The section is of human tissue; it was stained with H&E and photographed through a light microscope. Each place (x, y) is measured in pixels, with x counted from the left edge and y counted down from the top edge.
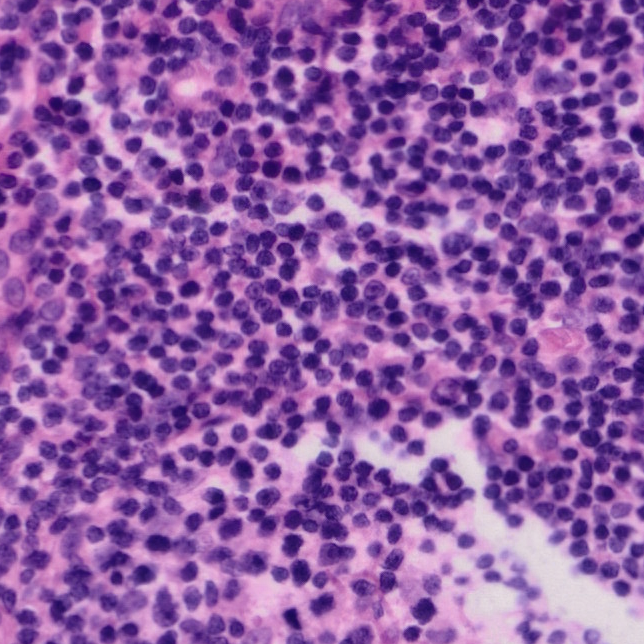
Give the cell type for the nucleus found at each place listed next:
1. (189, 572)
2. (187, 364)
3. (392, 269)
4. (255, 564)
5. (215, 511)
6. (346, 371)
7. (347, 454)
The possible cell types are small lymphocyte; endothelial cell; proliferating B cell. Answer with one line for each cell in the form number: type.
1: proliferating B cell
2: small lymphocyte
3: small lymphocyte
4: proliferating B cell
5: proliferating B cell
6: small lymphocyte
7: small lymphocyte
